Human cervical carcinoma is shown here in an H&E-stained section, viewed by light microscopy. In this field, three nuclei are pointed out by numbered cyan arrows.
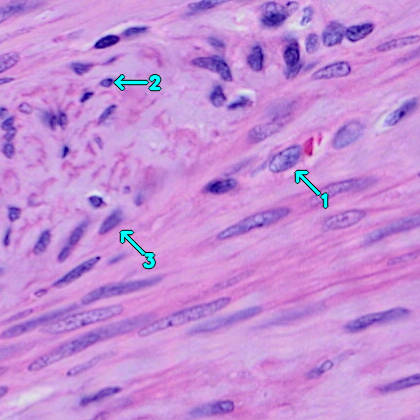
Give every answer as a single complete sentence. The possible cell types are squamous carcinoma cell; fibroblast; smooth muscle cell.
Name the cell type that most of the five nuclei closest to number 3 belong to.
Smooth muscle cells account for more than half of the five nuclei nearest to number 3.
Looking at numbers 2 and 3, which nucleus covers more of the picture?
Number 3 is larger; its area is about 3 times that of number 2.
